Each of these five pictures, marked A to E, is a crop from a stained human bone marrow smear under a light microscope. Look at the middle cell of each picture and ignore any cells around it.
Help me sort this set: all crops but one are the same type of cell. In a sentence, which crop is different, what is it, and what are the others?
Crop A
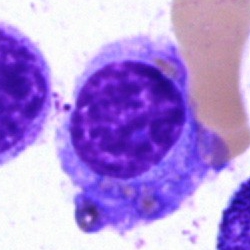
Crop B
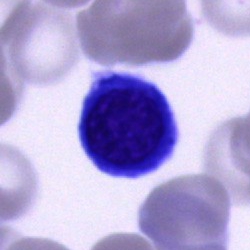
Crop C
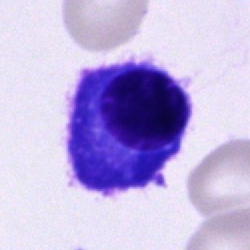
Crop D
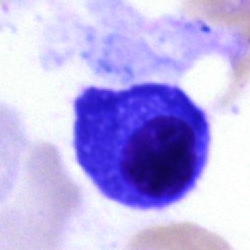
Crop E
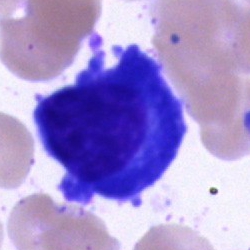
The remaining crops are all plasma cells, so crop B, being a lymphocyte, is the exception.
